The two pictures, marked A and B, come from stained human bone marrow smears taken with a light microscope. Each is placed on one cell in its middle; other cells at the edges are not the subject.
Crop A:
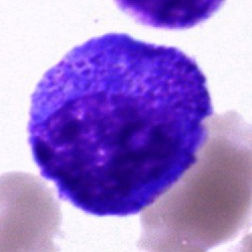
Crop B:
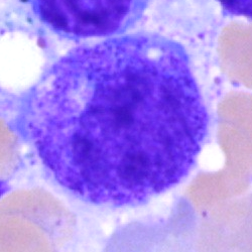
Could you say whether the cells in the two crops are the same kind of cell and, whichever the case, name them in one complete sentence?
Yes, both crops show promyelocytes, one in each.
